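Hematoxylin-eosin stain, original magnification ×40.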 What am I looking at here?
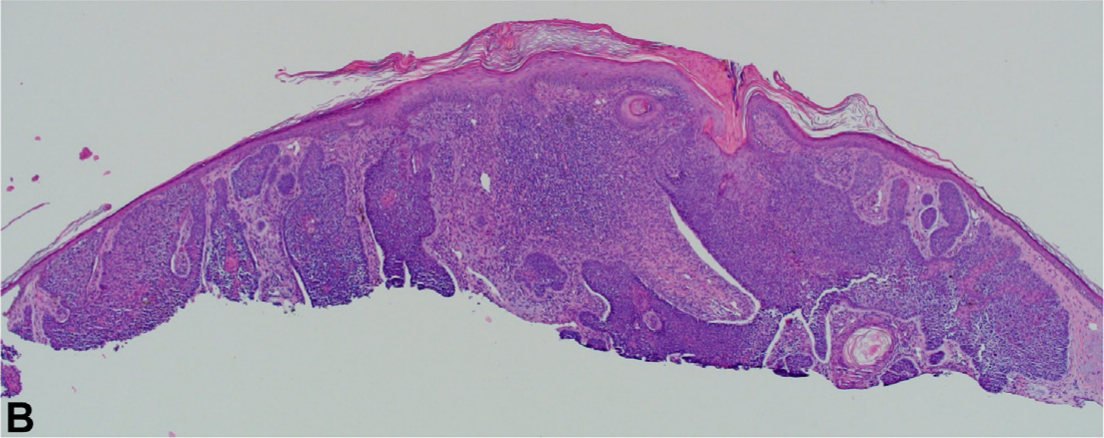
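This is a low-power section of skin. It shows a dome-shaped lesion. Large nests and strands of densely packed, dark-purple cells with scant cytoplasm fill the dermis. They extend downward from the underside of the thin epidermis. The nests are separated by paler pink stroma, and an elongated cleft-like space separates part of a nest from its surroundings. A thin layer of pink keratin lies over the surface. There are a few round keratin-filled structures within and beside the nests. Together these features fit a nodular basal cell carcinoma made of atypical basaloid cells.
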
